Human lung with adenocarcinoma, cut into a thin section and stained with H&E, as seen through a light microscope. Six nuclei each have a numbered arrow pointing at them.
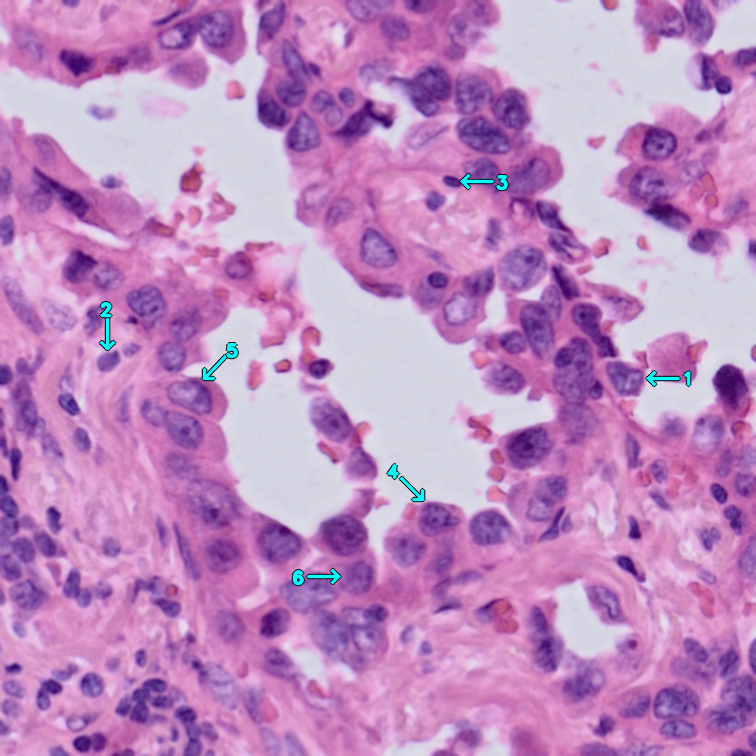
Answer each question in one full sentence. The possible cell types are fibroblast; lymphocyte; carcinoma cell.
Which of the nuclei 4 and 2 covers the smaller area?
Nucleus 2 is the smaller one; nucleus 4 covers about 2.5 times its area.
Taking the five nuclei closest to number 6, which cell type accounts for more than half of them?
Most of the five nuclei nearest to number 6 are those of carcinoma cells.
